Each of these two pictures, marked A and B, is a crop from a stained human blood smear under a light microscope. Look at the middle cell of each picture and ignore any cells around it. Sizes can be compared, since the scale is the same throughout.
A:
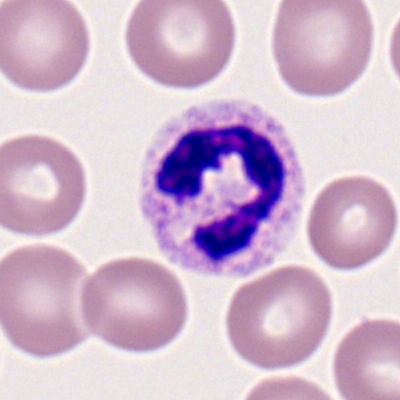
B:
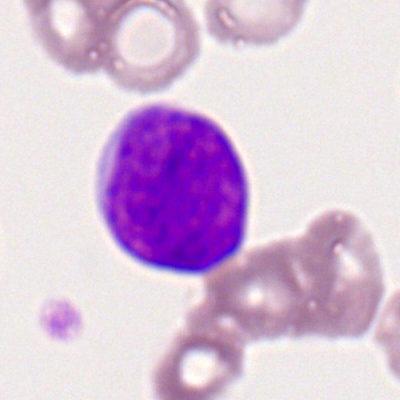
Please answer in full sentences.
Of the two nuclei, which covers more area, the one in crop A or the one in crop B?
The nucleus in crop B is larger, with about 2 times the area of the one in crop A.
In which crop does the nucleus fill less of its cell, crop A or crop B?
In crop A the nucleus takes up the smaller part of its cell.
